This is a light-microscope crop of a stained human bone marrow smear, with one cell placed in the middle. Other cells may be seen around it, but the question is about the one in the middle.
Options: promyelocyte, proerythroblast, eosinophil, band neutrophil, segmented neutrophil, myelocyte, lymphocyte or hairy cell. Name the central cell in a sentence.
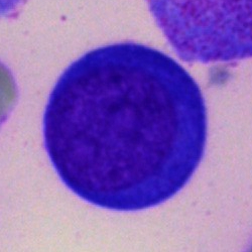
The cell at the heart of this crop is a proerythroblast.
